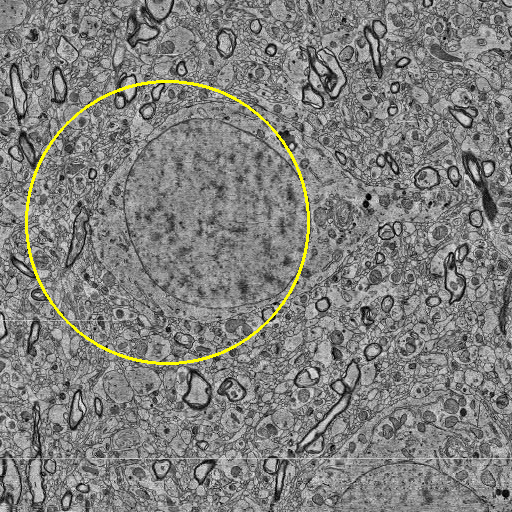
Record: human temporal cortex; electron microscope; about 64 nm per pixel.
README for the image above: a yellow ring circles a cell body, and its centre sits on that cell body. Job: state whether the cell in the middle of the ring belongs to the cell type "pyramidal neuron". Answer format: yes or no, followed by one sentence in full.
Yes, the cell sitting in the middle of the ring in the image belongs to that type.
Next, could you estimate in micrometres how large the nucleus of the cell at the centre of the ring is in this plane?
Approximately 12 micrometres across in this plane.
